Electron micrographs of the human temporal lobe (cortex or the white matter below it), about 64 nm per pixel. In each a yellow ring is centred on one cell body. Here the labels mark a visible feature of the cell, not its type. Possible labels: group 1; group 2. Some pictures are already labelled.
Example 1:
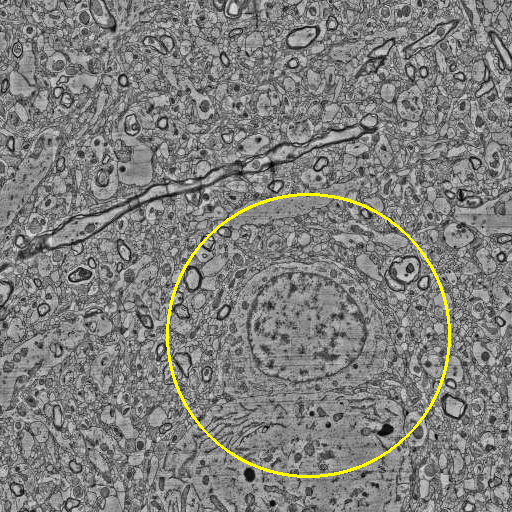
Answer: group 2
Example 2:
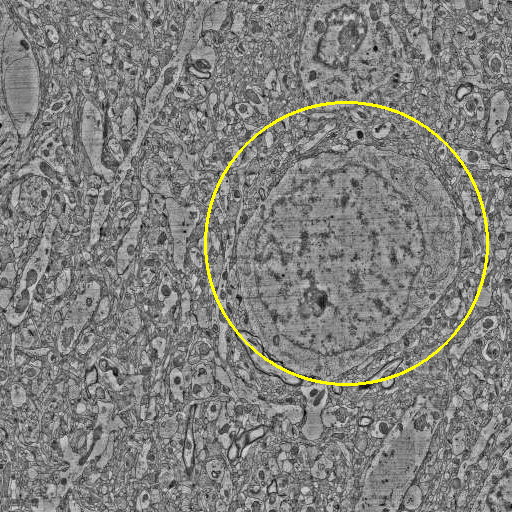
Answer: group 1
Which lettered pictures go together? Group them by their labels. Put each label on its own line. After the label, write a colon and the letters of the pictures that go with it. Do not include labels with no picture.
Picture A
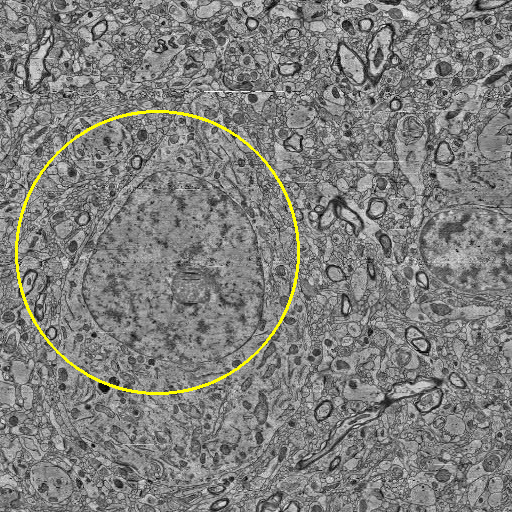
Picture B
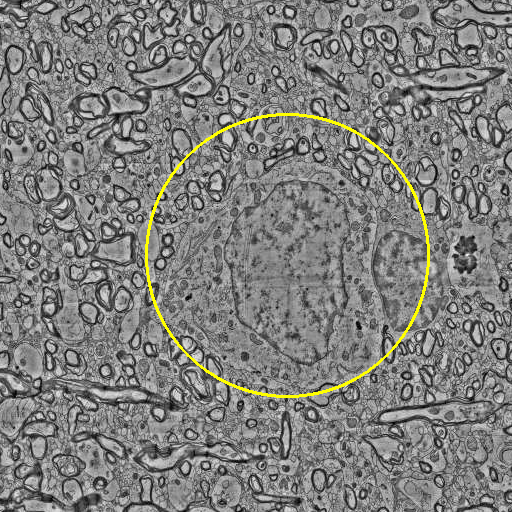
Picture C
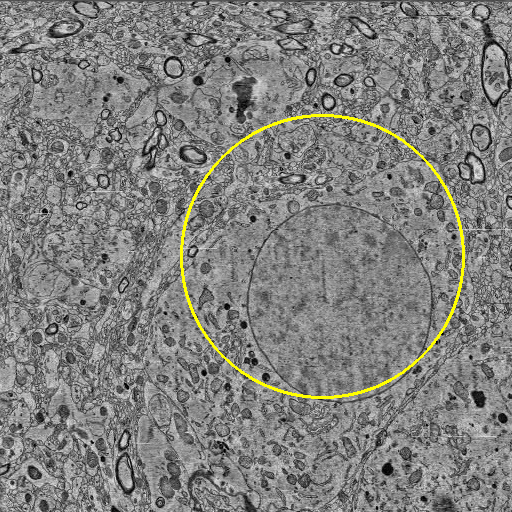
group 1: A
group 2: B, C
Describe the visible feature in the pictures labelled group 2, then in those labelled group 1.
group 2, no nucleolus seen; group 1, nucleolus seen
